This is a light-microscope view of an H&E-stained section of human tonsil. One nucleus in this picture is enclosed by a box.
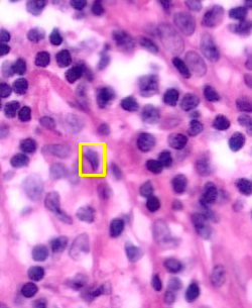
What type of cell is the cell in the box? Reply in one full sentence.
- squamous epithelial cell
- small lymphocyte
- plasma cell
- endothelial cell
It is as an endothelial cell that the cell in the box is recorded.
